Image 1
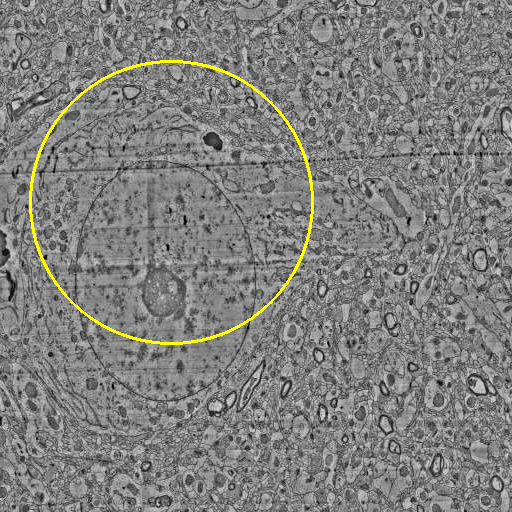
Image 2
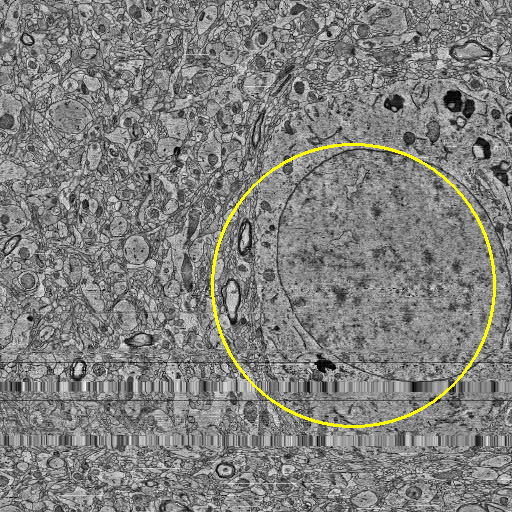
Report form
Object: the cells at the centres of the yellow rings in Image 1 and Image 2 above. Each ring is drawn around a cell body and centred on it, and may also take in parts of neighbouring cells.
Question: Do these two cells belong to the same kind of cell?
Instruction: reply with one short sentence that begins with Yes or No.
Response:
Yes, both belong to the same kind of cell.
